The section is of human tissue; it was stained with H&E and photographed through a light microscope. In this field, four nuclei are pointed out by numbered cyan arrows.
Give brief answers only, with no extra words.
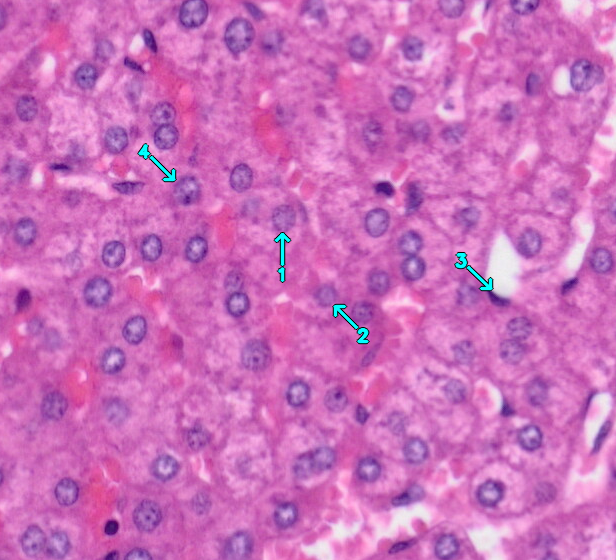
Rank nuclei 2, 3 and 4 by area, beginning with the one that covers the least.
3, 2, 4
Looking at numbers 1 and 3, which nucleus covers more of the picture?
1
